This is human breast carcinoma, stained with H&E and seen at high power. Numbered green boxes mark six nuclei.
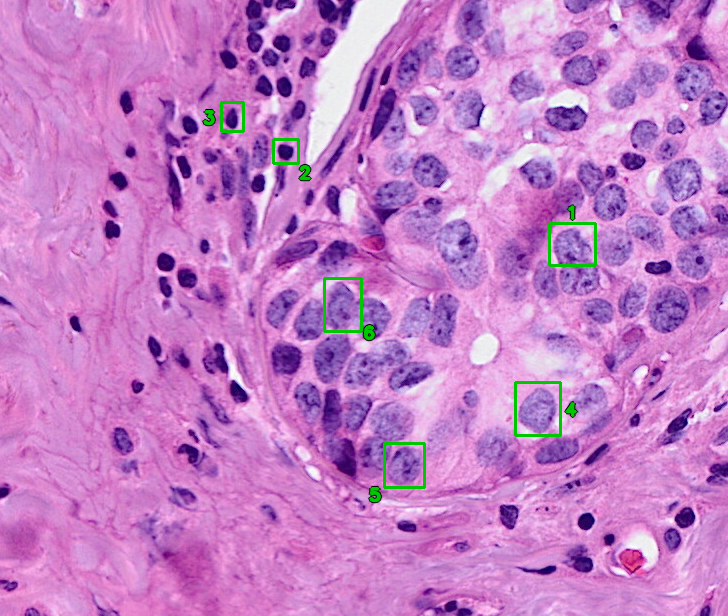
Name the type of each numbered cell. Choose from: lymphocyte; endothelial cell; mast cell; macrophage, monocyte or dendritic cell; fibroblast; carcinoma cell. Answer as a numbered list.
1. carcinoma cell
2. lymphocyte
3. lymphocyte
4. carcinoma cell
5. carcinoma cell
6. carcinoma cell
